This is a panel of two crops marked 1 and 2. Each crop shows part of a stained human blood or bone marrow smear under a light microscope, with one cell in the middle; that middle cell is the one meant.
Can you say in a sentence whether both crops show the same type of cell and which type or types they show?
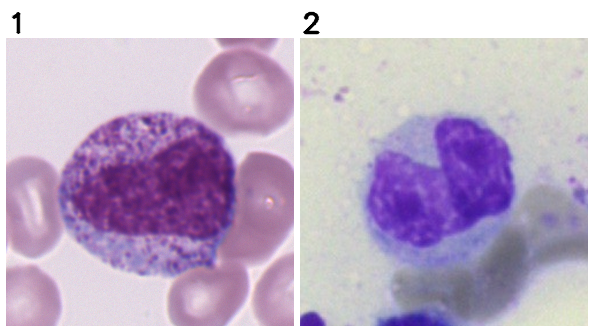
No, the cell centred in crop 1 is a myelocyte, and that centred in crop 2 is a monocyte.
